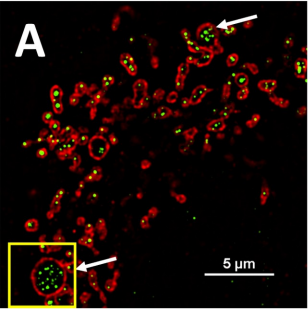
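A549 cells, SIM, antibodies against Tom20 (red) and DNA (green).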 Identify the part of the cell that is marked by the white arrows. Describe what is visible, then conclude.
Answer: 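Bloated mitochondria. The arrows point to rounded red rings much larger than the neighbouring ones. Several green dots lie inside each arrowed ring.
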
